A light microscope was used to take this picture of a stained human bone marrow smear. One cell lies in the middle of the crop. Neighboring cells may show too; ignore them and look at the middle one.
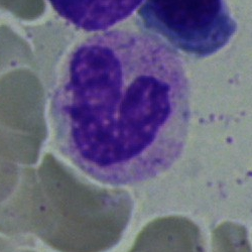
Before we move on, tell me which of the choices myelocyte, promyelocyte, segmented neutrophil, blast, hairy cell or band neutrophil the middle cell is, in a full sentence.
In the middle of this smear crop is a band neutrophil.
